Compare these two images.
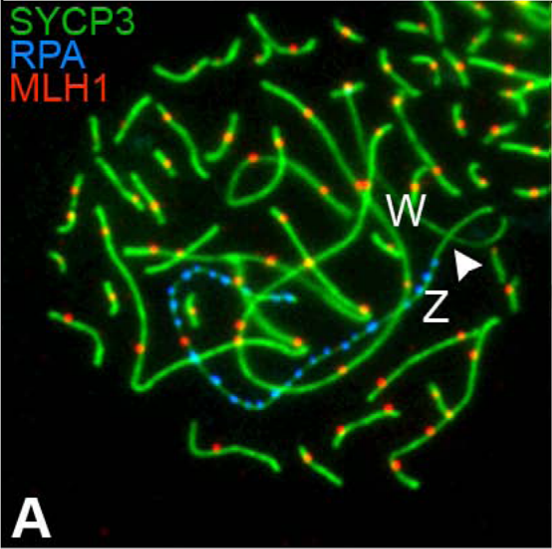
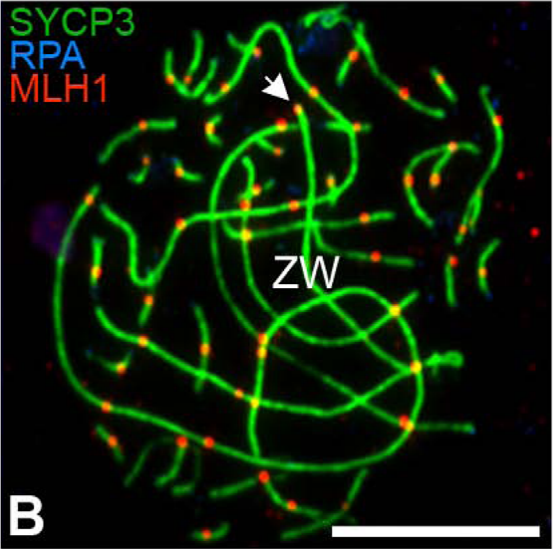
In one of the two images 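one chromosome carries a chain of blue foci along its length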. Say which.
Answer: The first image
